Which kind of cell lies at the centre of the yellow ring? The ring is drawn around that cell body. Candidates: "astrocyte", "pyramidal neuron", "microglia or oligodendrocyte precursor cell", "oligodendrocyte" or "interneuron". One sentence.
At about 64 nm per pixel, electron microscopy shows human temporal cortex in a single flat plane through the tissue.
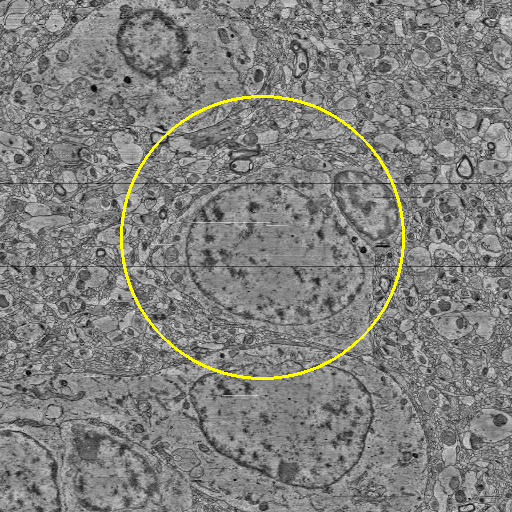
Lying at the centre of the ring is a pyramidal neuron.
